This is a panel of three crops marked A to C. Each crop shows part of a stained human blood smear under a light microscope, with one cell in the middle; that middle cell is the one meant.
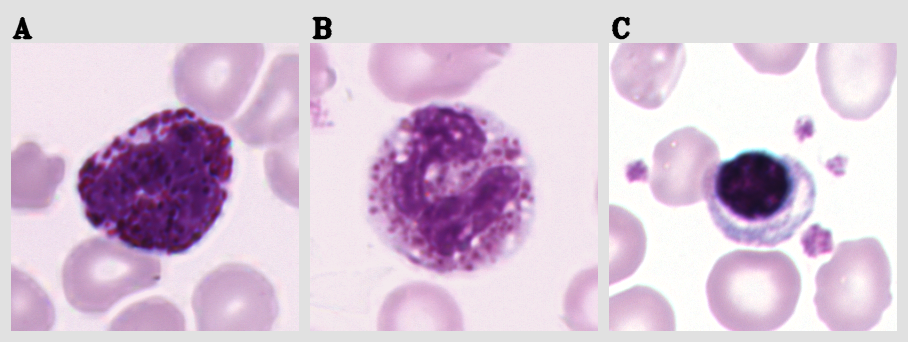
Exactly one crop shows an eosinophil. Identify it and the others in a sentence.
What crop B shows is an eosinophil, while crop A is a basophil and crop C is a normoblast.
